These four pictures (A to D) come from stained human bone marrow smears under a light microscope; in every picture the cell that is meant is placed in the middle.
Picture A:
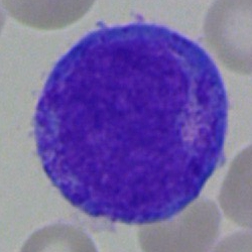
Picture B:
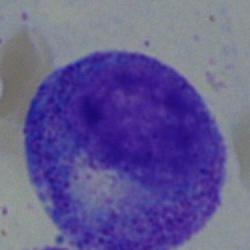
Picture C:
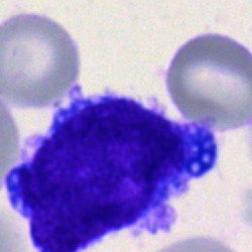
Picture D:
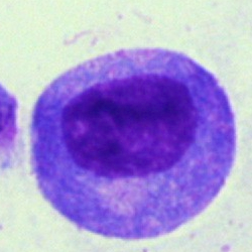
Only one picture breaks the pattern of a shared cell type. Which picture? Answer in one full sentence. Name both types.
Unlike the rest, which show promyelocytes, picture C shows a blast.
